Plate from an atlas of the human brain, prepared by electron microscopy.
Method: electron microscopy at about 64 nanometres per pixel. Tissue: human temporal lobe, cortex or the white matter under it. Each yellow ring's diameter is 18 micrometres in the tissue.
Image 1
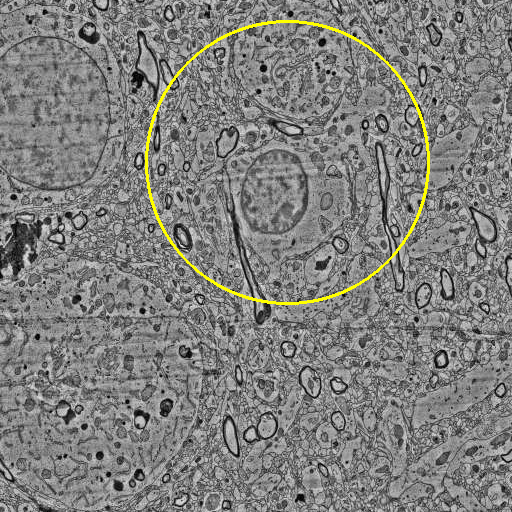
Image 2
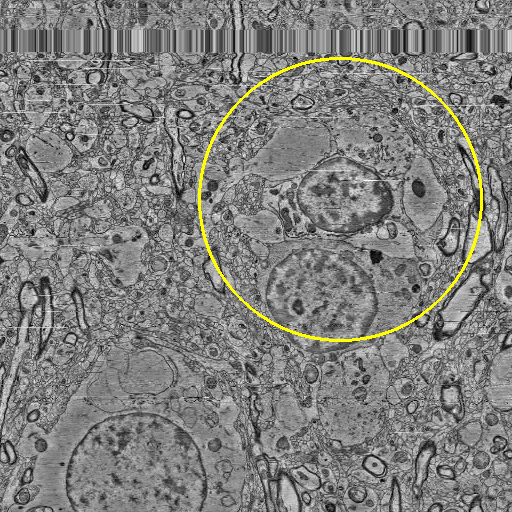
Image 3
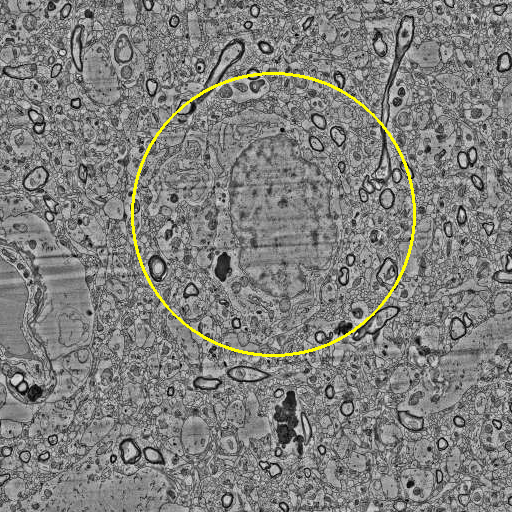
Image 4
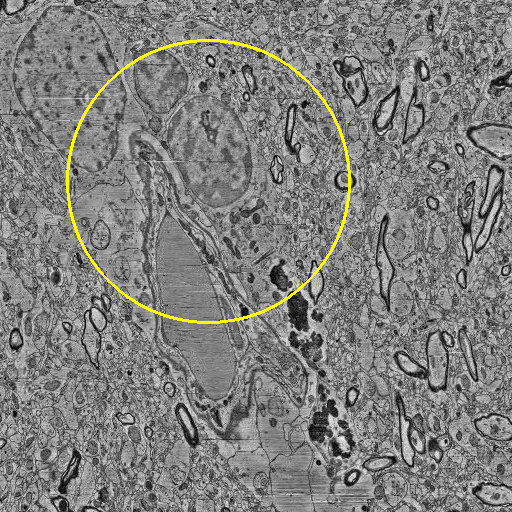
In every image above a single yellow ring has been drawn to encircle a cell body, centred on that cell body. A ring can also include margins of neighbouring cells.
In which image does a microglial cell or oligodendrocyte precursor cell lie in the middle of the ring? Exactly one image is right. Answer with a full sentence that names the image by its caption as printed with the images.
Image 2 holds the requested cell at the very centre of its ring.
